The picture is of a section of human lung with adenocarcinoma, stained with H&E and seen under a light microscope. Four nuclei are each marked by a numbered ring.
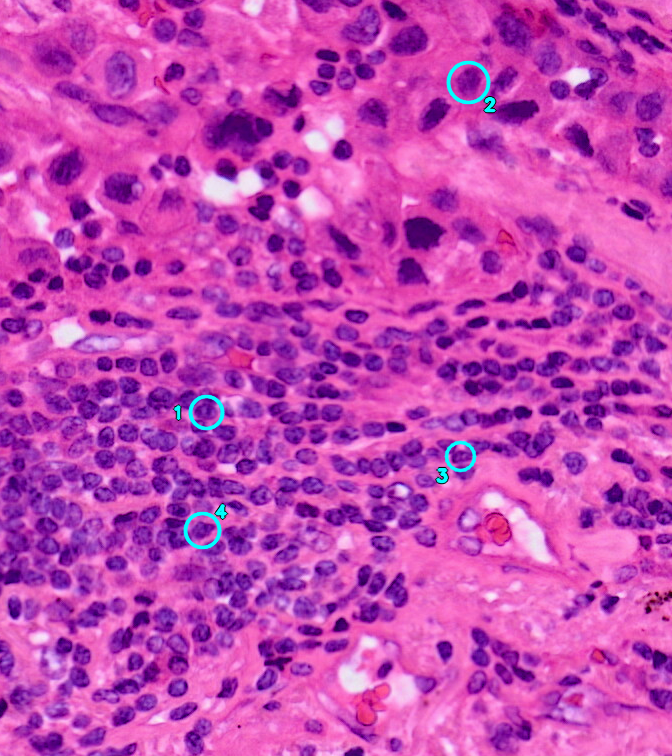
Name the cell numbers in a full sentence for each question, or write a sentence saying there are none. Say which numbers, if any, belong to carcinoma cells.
Nothing but cell 2 is a carcinoma cell among the numbered ones.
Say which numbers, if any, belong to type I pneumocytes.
It is not the case that any of the numbered cells are type I pneumocytes.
